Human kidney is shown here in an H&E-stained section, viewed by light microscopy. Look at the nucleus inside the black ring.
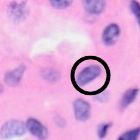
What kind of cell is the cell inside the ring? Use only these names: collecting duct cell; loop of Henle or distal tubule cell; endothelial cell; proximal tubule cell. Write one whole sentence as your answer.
This is a collecting duct cell.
